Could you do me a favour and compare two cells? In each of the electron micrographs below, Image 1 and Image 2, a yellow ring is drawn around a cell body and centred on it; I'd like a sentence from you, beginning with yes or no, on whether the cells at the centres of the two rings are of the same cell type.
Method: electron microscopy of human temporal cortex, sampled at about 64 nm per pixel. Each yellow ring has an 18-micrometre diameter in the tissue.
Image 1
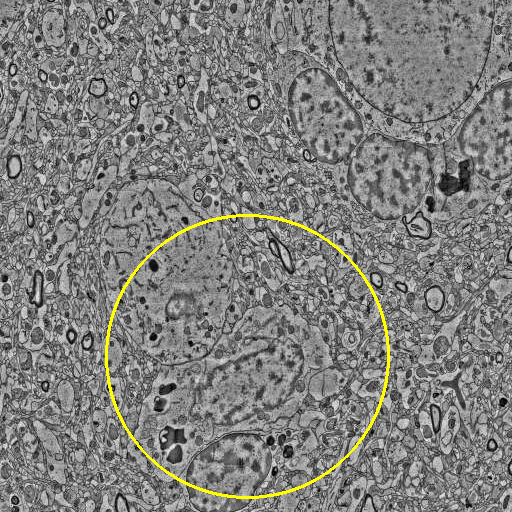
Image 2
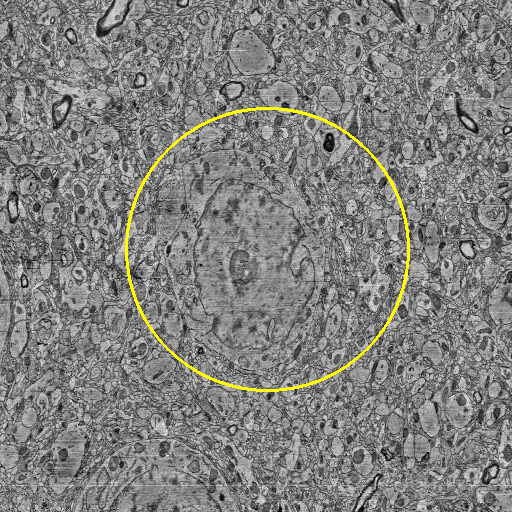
Yes, the two cells are of the same cell type.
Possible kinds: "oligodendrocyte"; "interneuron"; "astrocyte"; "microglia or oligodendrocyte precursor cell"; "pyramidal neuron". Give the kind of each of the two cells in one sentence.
In each picture the ringed cell is an interneuron.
